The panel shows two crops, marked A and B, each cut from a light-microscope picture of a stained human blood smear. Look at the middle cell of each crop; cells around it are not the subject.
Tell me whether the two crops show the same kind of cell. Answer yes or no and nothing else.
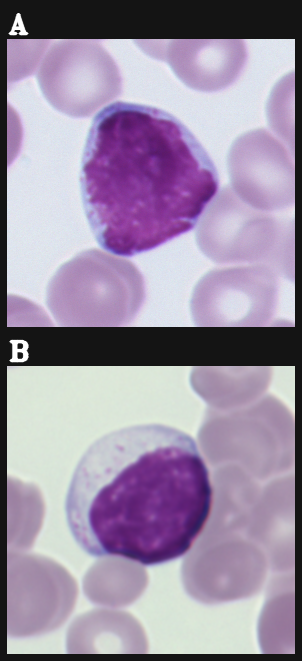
yes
